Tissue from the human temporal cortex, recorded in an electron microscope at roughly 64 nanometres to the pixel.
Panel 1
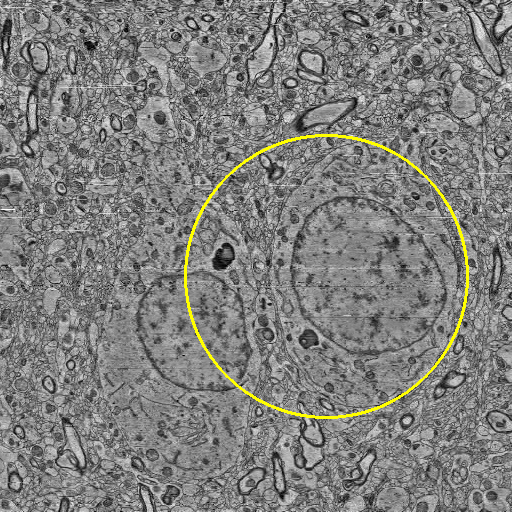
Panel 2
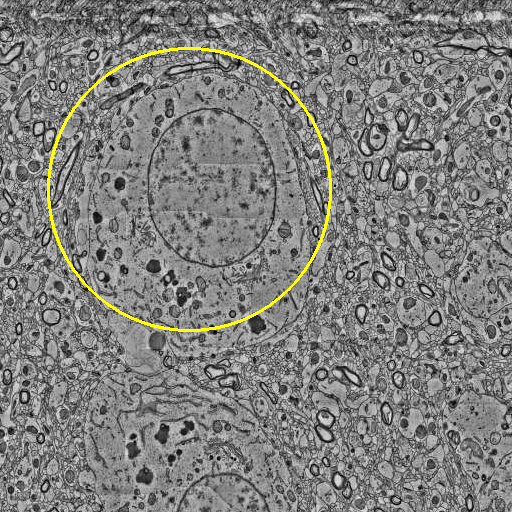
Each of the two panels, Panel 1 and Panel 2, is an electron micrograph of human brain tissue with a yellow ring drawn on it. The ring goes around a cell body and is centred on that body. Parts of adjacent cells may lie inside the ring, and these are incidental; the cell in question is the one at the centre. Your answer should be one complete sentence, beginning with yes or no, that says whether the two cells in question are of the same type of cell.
Yes, the two cells are of the same type.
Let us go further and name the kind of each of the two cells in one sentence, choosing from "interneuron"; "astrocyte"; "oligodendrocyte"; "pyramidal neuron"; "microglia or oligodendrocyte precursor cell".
The cell at the ring centre is a pyramidal neuron in both pictures.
